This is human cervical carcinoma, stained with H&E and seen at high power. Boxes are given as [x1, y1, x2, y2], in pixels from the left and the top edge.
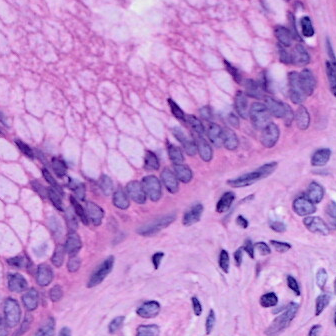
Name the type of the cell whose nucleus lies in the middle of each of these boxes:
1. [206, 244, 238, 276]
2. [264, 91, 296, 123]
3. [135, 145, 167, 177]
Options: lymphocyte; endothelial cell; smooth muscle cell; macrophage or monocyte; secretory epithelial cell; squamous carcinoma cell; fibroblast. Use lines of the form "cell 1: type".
cell 1: fibroblast
cell 2: secretory epithelial cell
cell 3: secretory epithelial cell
